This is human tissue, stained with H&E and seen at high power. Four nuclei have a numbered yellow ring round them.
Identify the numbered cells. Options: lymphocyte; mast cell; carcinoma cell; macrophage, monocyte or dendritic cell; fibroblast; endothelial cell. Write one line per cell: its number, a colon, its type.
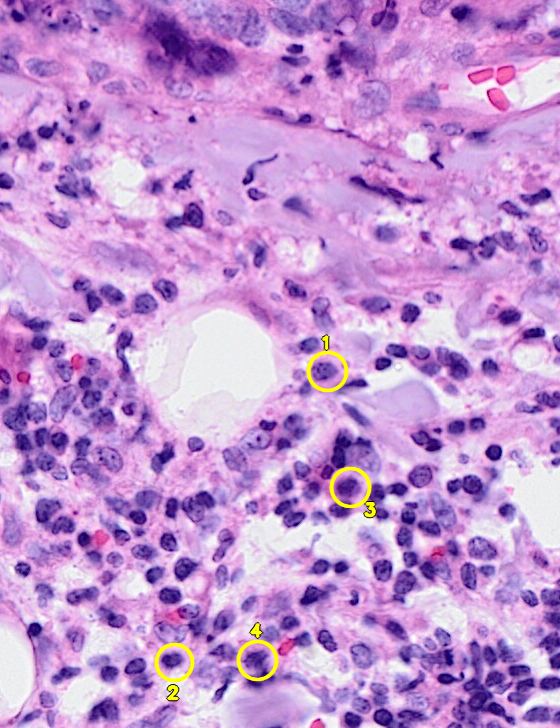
1: mast cell
2: lymphocyte
3: lymphocyte
4: lymphocyte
